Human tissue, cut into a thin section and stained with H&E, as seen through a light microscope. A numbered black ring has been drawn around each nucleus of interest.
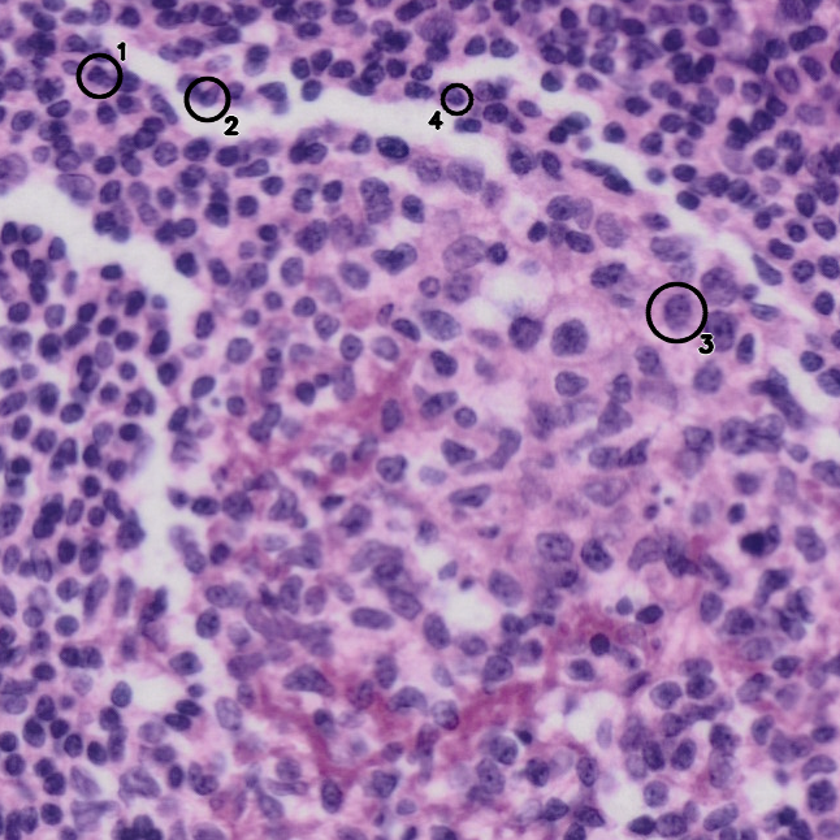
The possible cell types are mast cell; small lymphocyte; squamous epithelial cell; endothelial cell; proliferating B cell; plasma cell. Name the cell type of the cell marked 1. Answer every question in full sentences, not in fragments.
The cell numbered 1 has been identified as a small lymphocyte.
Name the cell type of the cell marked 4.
The cell identified by the number 4 is a small lymphocyte.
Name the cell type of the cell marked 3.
Looking at the numbered marks, cell 3 is a proliferating B cell.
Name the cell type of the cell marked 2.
Cell 2, as marked in the section, is a small lymphocyte.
